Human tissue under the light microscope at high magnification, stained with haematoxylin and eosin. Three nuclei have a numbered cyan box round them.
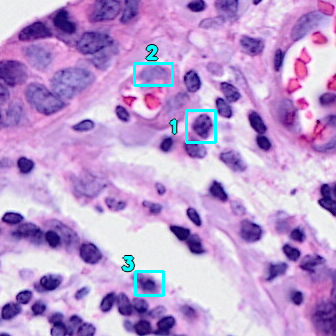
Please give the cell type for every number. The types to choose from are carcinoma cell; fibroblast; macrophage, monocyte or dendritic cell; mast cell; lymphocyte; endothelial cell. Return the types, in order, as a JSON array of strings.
["lymphocyte", "endothelial cell", "lymphocyte"]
